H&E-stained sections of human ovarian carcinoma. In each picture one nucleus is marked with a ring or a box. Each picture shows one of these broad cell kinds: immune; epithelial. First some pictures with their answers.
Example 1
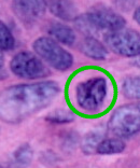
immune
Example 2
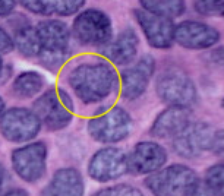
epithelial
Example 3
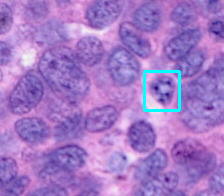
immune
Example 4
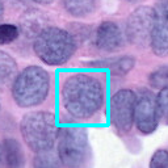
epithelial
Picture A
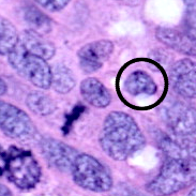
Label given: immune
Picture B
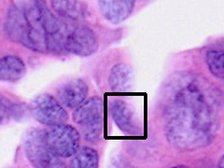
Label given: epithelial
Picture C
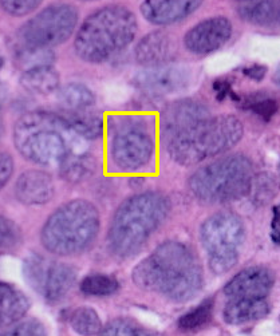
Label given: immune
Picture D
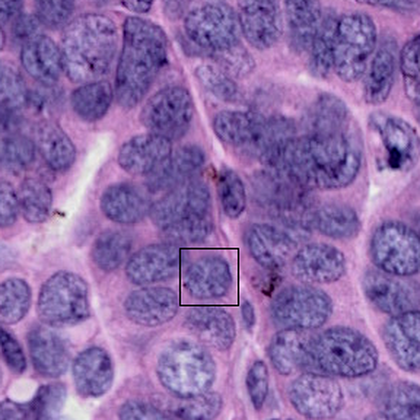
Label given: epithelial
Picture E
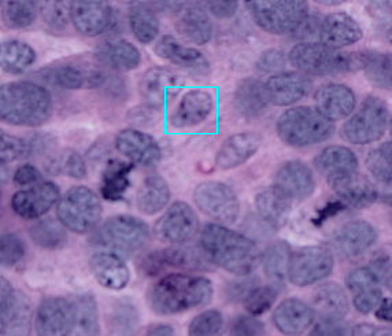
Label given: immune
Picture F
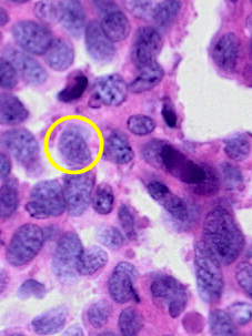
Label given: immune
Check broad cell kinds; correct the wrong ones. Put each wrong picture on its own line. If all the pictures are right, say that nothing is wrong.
Wrong: C (immune); correct: epithelial
Wrong: F (immune); correct: epithelial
